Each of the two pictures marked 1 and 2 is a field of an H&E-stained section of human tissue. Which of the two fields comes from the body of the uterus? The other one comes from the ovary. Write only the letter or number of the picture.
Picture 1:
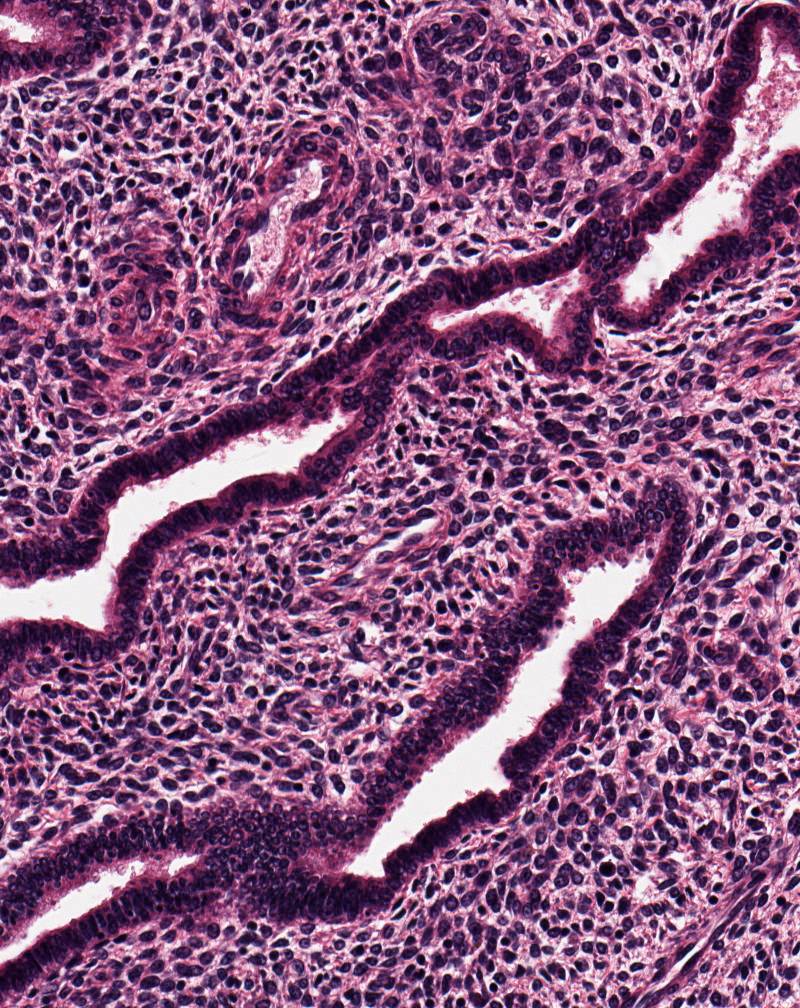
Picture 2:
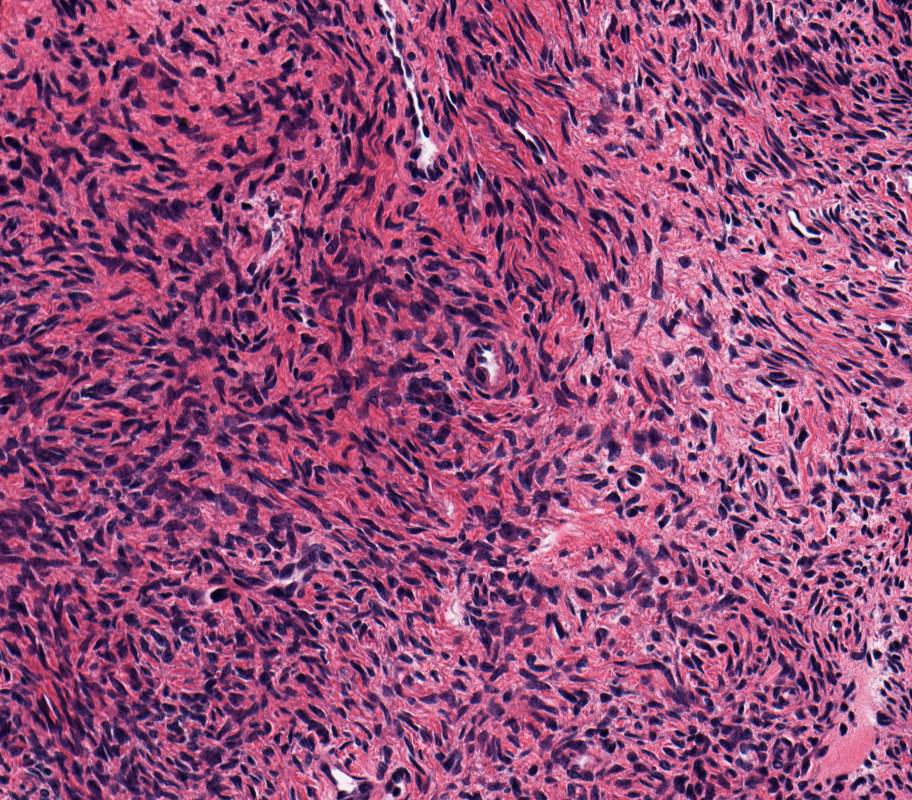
1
